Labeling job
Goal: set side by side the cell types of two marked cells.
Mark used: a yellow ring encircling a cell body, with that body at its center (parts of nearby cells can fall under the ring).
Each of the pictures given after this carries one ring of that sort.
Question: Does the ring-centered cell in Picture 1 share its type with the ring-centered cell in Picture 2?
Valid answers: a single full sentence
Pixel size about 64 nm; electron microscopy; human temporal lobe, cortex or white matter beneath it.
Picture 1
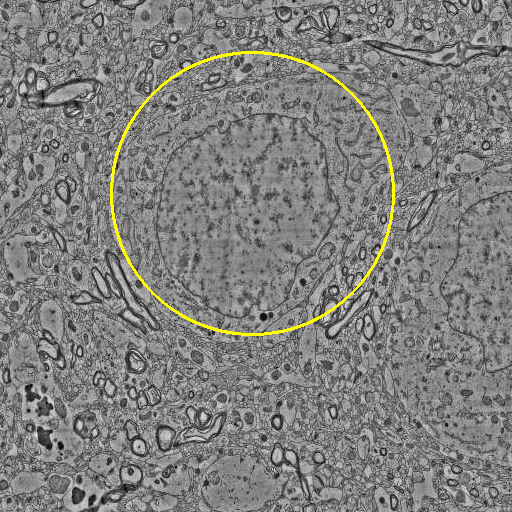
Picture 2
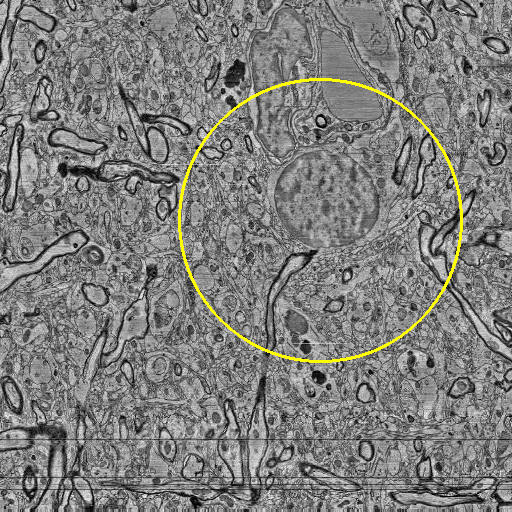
No, in Pictures 1 and 2 the cells at the ring centers have separate types.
